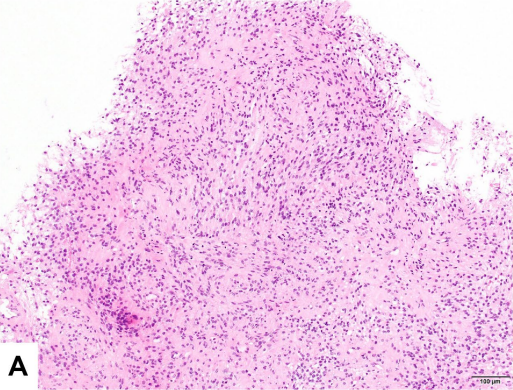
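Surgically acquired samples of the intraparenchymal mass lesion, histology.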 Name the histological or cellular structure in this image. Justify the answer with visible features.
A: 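Densely cellular sheet of spindle to oval cells in pink stroma. Groups of cells run in streams that point in differing directions.
Answer: haphazardly oriented bundles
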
